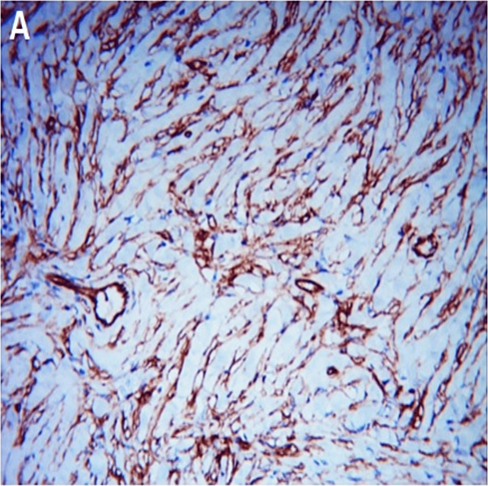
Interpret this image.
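Nearly all of these cells are stained brown along their cytoplasm and long, slender, branching processes, while their nuclei are small, elongated and blue. The cells run in wavy, streaming bundles that sweep across the field. Several small vessels with round or oval lumens are lined by brown-stained cells, and stromal cells curve around some of them in a loosely concentric way. Taken together, this shows diffuse staining of the stromal spindle cells.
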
